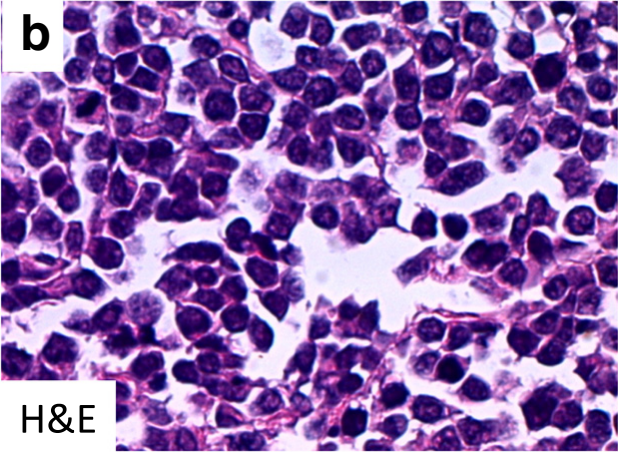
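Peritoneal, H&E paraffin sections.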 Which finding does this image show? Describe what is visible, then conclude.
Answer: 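Dense sheets of closely packed, round, discohesive cells with no normal tissue architecture. Cells have large, dark, round to irregular nuclei and scant cytoplasm. No organised layers or glands between the cells.
Conclusion: tumor cells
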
